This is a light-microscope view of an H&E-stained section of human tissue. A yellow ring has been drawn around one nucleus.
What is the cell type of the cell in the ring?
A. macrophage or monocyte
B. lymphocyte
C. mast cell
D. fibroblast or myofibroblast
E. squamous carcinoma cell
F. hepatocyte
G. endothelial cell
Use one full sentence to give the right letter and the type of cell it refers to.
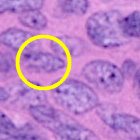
That the cell in the ring is a squamous carcinoma cell makes option E the correct choice.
